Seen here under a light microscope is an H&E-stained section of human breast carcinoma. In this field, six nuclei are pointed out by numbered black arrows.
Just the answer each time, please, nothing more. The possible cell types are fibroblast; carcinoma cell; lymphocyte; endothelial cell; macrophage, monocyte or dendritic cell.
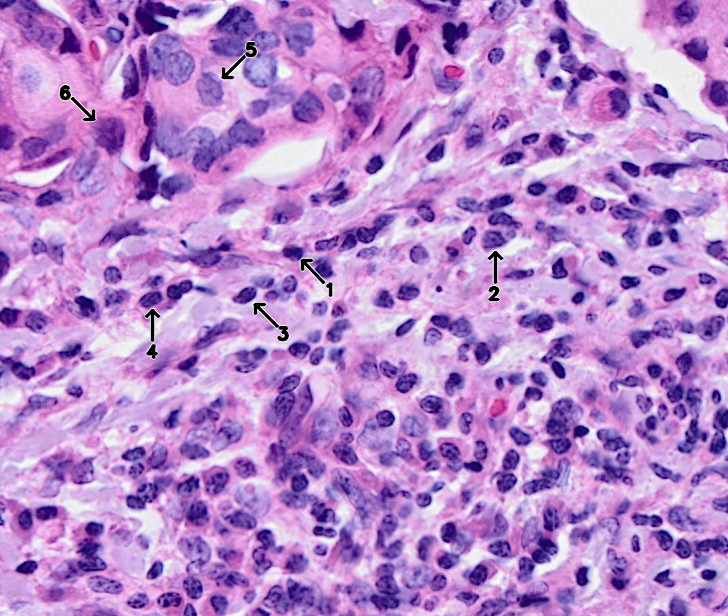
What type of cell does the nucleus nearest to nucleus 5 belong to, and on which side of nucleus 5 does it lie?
a carcinoma cell above and to the left of nucleus 5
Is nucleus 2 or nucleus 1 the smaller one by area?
1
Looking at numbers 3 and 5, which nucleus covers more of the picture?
5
